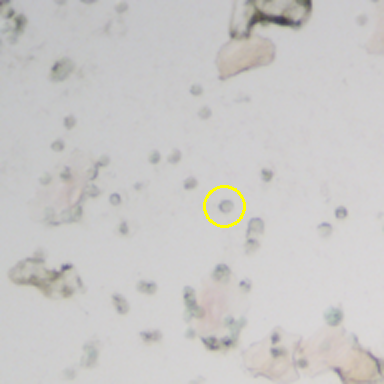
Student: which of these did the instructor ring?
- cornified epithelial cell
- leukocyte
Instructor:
The cell I ringed is a leukocyte.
